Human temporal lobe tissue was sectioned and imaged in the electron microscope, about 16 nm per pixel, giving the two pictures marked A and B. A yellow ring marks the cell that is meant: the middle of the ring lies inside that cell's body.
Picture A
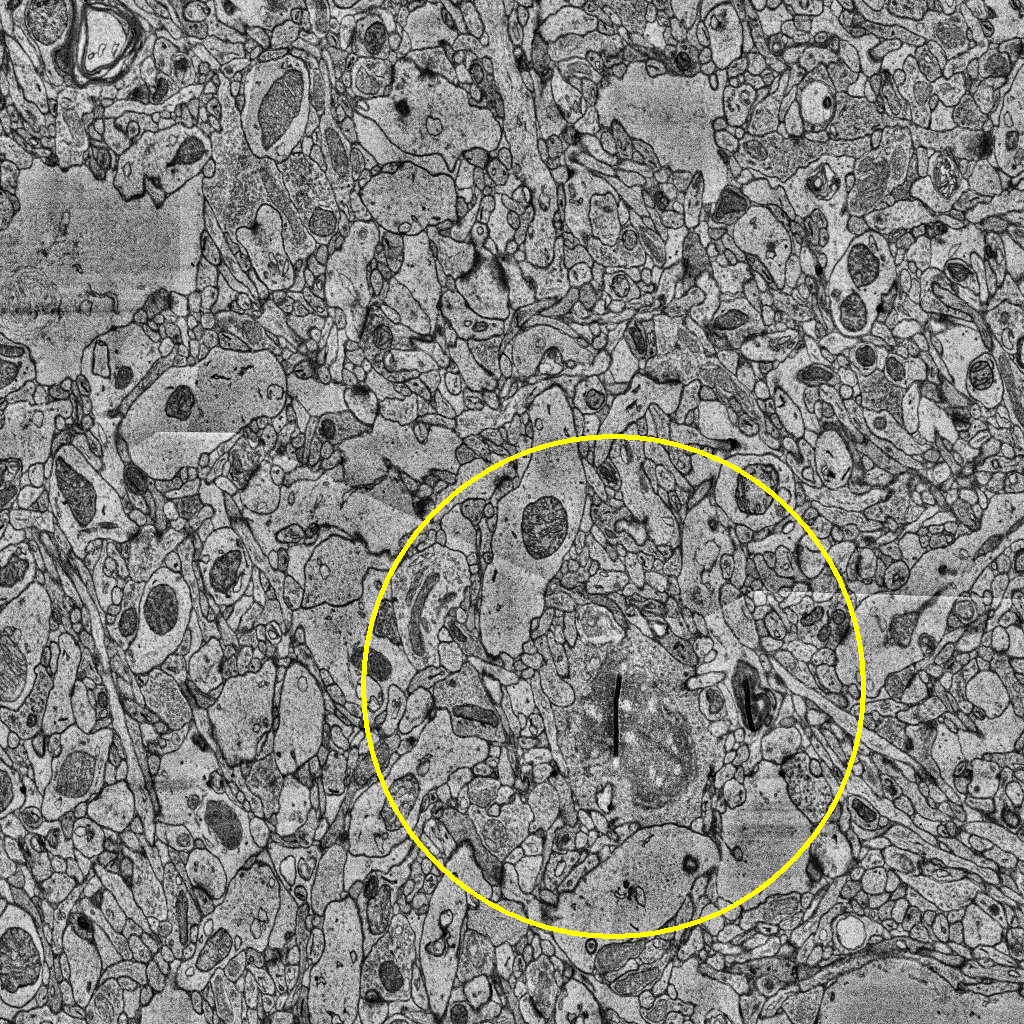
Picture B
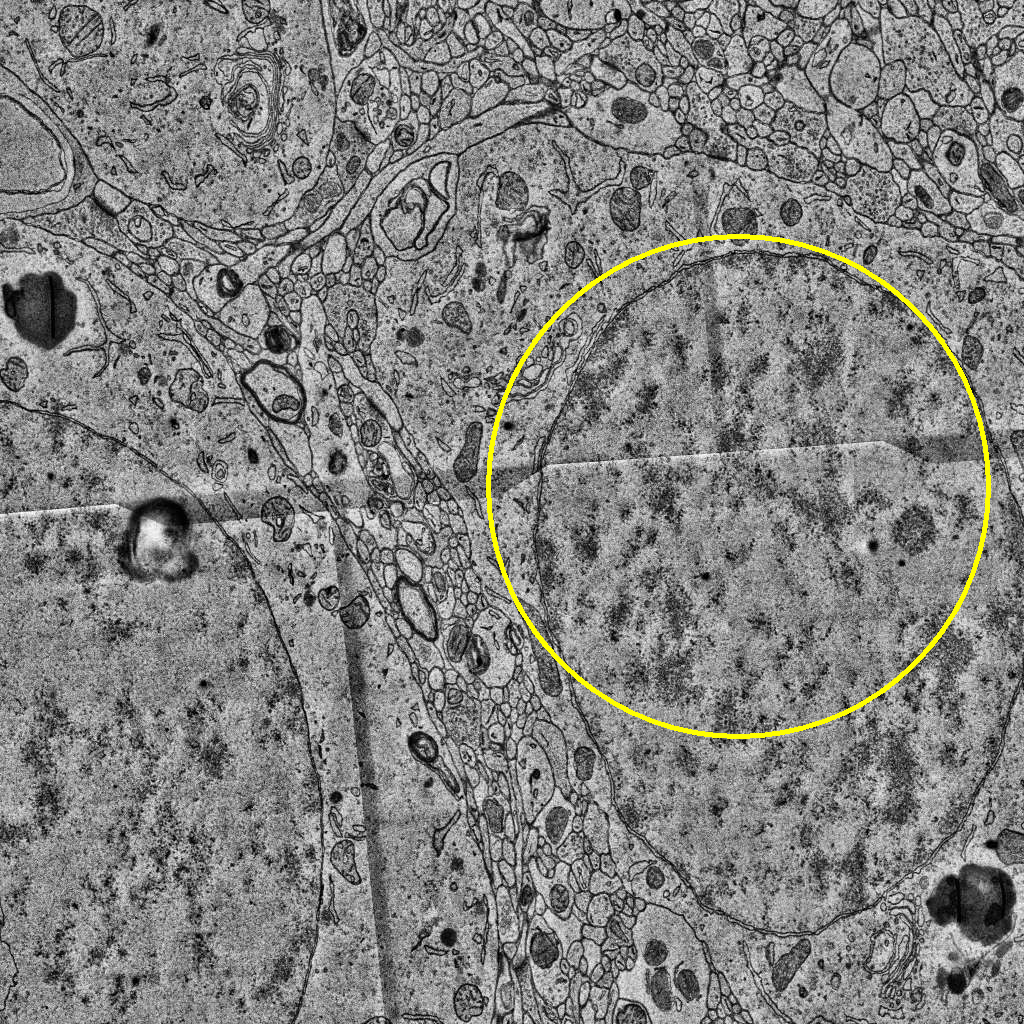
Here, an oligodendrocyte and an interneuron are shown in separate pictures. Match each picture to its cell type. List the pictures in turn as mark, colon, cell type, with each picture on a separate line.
A: oligodendrocyte
B: interneuron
